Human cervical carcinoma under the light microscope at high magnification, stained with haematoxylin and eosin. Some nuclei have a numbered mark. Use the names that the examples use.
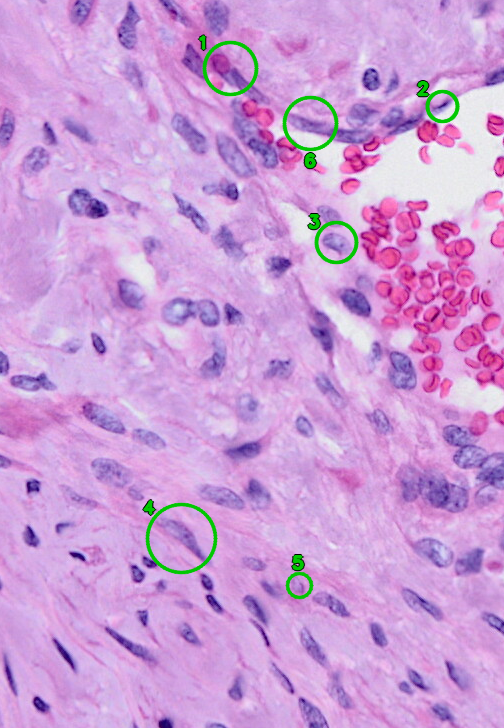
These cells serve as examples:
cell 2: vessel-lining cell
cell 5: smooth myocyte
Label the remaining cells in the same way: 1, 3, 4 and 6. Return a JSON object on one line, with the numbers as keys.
{"1": "vessel-lining cell", "3": "vessel-lining cell", "4": "smooth myocyte", "6": "vessel-lining cell"}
